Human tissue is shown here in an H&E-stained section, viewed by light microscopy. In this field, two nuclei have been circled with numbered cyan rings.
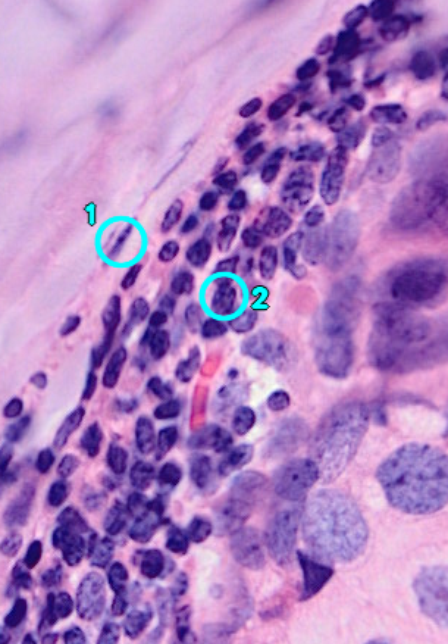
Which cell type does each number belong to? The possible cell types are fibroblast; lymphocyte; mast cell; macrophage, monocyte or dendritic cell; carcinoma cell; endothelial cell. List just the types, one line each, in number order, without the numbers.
fibroblast
lymphocyte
